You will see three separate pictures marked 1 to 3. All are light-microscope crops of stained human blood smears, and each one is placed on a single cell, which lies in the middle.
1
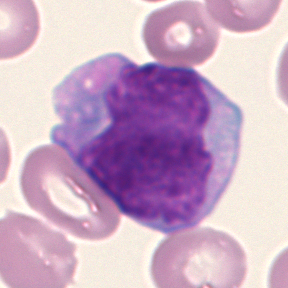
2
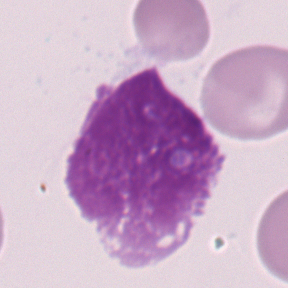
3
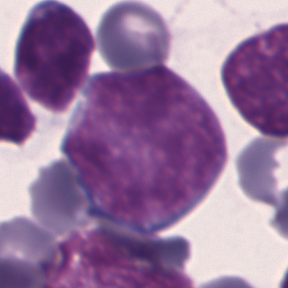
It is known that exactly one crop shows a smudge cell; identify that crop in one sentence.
Of the cells presented, the one in crop 2 is a smudge cell.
